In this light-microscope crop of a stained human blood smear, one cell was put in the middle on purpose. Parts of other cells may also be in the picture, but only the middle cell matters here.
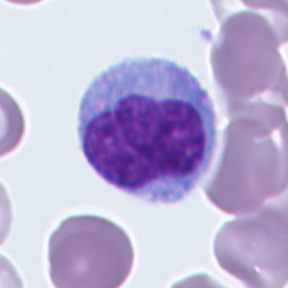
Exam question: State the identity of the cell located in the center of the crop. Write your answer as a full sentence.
The cell of interest, in the center, is a monocyte.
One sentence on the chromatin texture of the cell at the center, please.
What stands out is chromatin that is coarsely clumped.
